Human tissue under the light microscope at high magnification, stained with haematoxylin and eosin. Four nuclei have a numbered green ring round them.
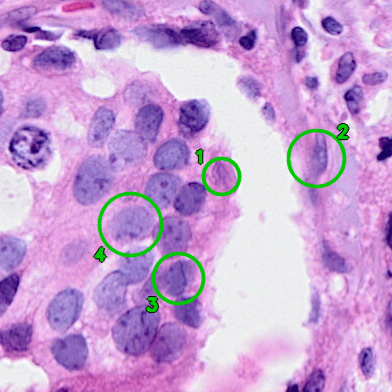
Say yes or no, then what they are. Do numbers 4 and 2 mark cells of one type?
No, cell number 4 is a carcinoma cell, and cell number 2 is an endothelial cell.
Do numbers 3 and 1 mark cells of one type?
Yes, cells 3 and 1 are both recognised as carcinoma cells.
